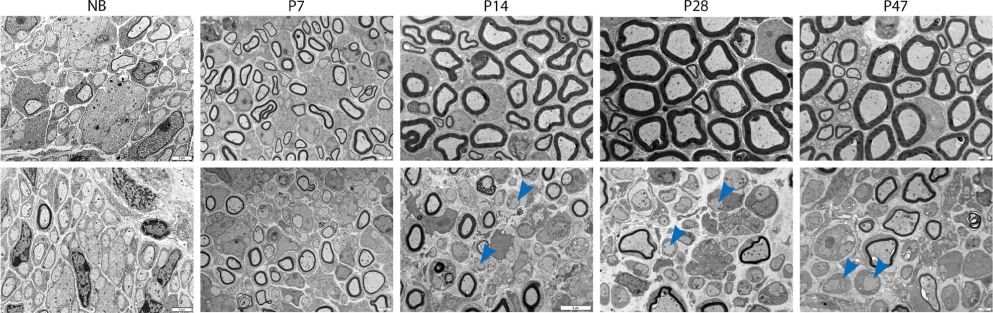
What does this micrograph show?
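Electron micrographs of peripheral nerve in cross section show axons and their Schwann cells. In the top row the first image has many pale axons, few thinly wrapped, among Schwann cell nuclei. Across the following images almost every large axon becomes enclosed by a thick, dark, compact myelin ring, and the fibres lie tightly packed. In the bottom row the first image resembles the first of the top row, but in the later images most large axons stay as pale round profiles, each wrapped by one Schwann cell without a myelin ring. Only scattered fibres carry dark myelin, some of it thin or irregular. Arrowheads mark such unmyelinated one-to-one profiles.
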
